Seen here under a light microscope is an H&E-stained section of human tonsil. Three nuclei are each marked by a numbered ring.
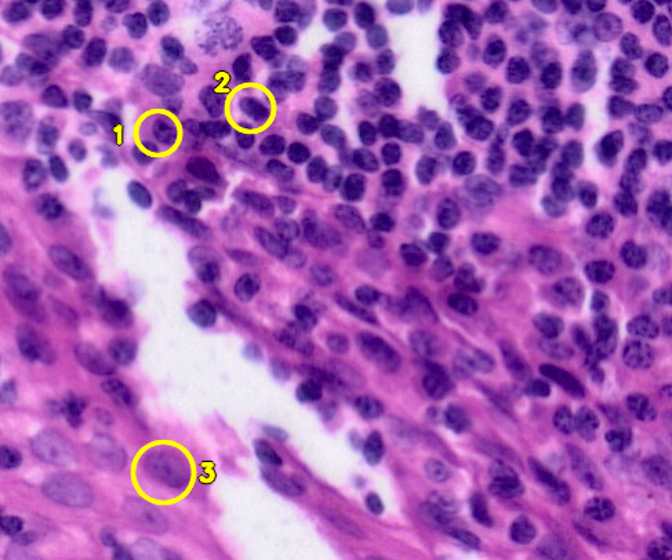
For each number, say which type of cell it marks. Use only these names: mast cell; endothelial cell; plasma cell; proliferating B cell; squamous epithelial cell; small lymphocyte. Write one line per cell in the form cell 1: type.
cell 1: plasma cell
cell 2: small lymphocyte
cell 3: squamous epithelial cell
